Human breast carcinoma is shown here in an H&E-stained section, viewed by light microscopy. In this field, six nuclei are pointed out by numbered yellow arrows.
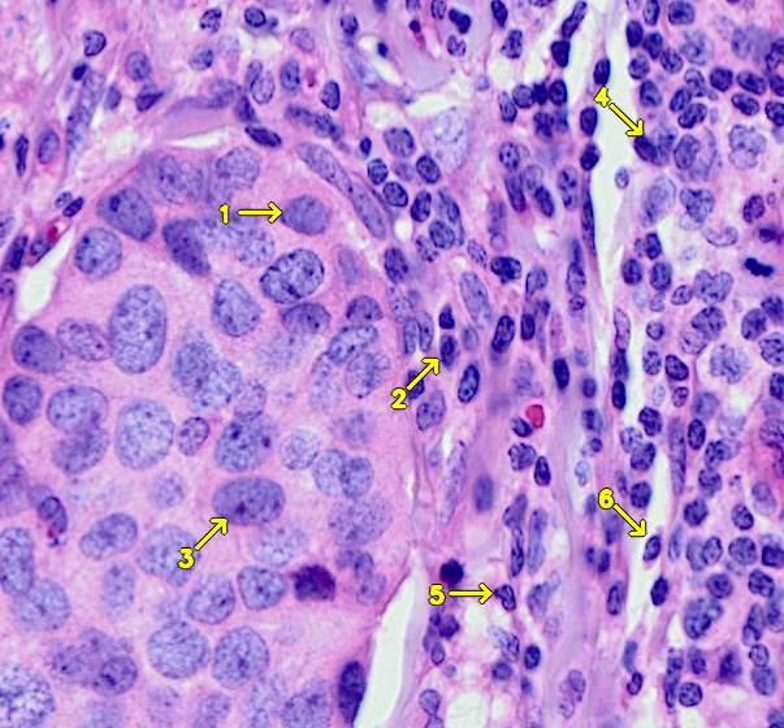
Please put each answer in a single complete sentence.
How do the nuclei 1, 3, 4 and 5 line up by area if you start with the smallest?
The order from the smallest nucleus to the largest is 5, 4, 1, 3.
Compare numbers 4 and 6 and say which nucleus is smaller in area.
Nucleus 6 is the smaller one; nucleus 4 covers about 2 times its area.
